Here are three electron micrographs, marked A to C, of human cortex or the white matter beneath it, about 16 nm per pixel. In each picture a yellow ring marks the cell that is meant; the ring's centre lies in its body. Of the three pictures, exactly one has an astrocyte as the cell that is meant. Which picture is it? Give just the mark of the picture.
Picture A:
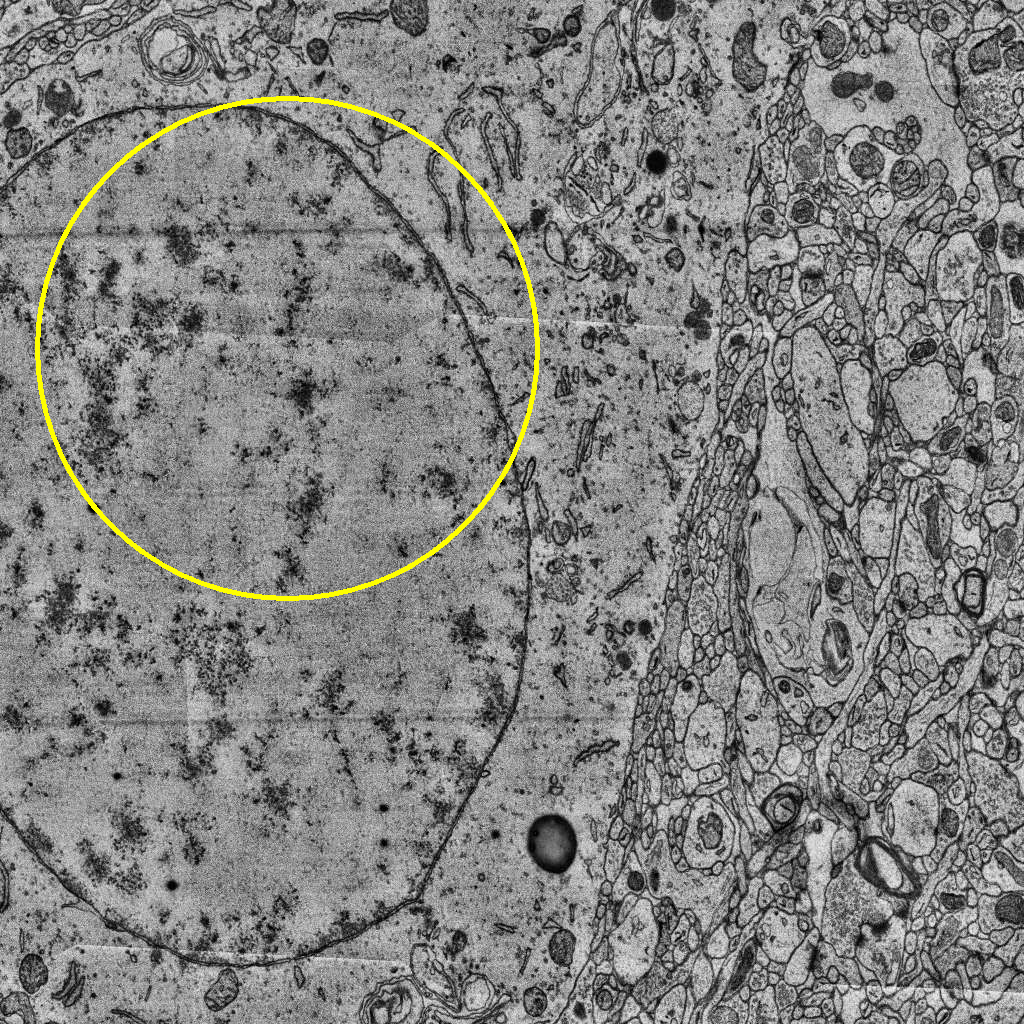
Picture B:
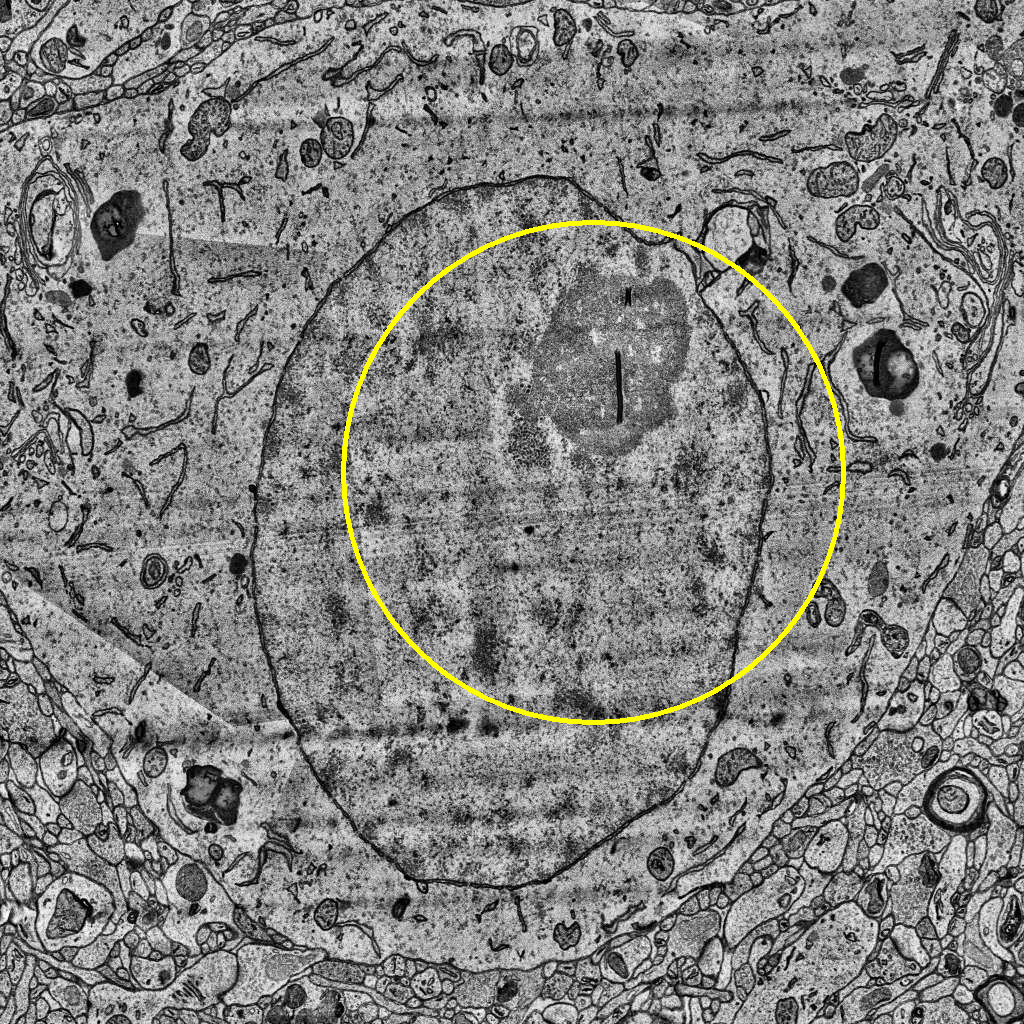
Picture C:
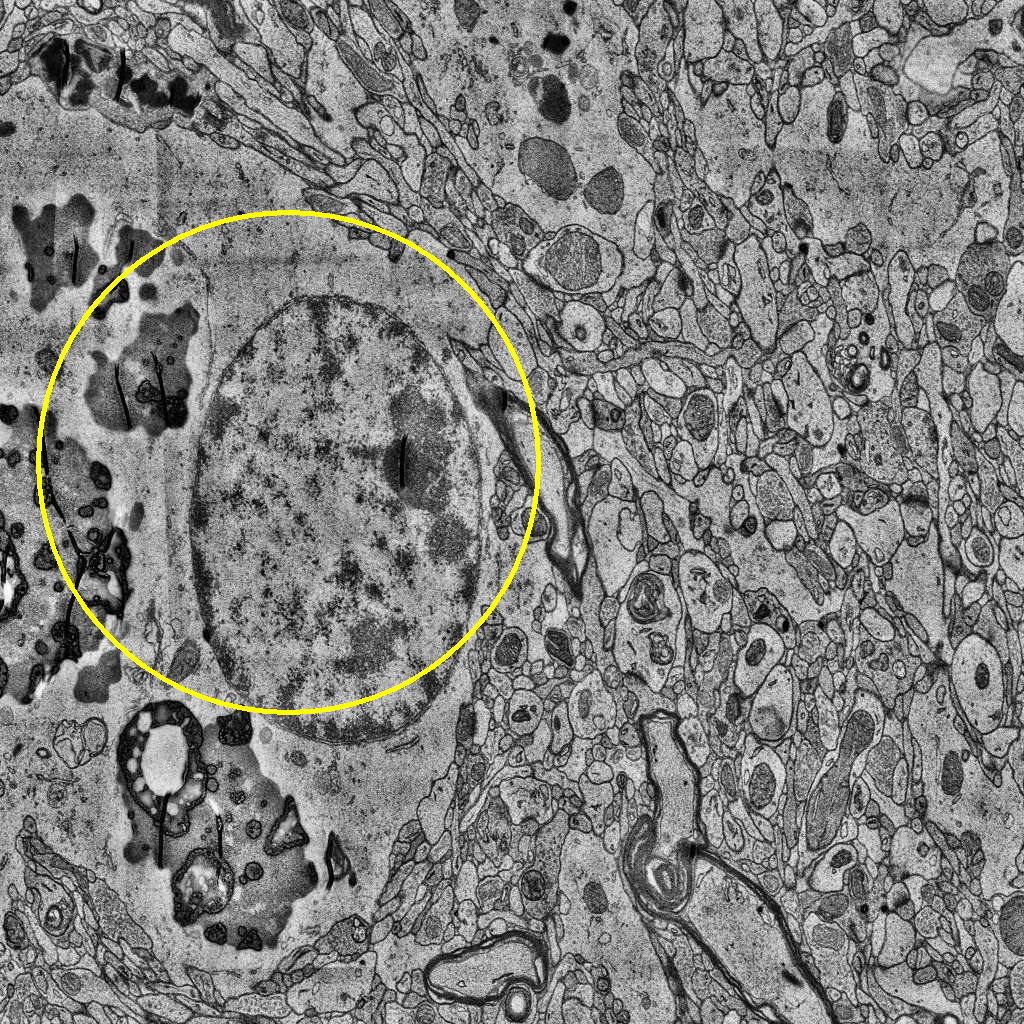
C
